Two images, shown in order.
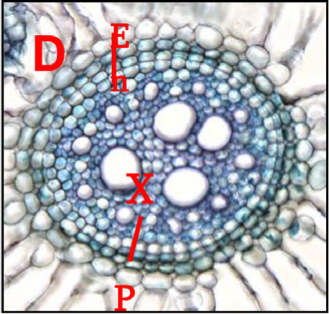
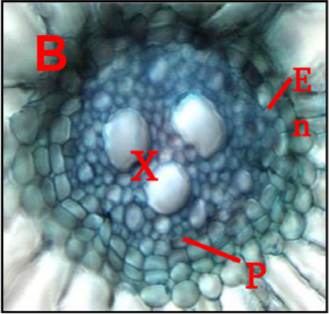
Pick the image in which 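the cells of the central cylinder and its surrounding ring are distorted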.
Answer: the second image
